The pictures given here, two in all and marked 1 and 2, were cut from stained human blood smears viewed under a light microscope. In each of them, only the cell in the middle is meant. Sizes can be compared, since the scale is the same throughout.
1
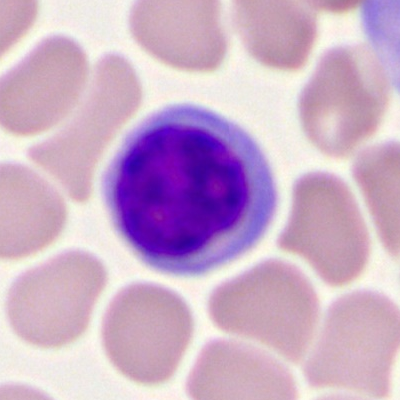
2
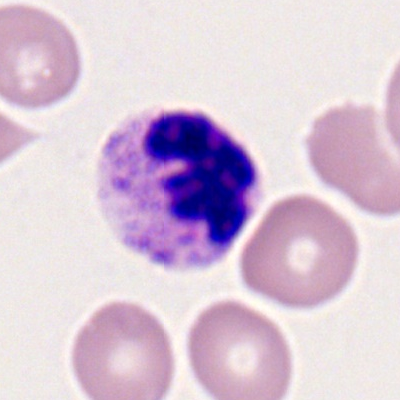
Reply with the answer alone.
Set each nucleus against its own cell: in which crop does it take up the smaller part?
2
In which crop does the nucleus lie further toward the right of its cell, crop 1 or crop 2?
2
